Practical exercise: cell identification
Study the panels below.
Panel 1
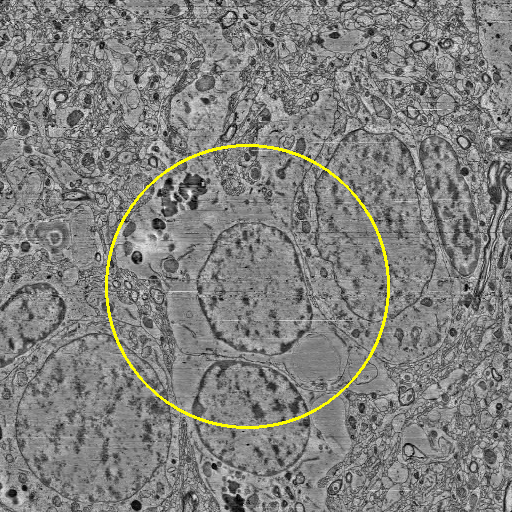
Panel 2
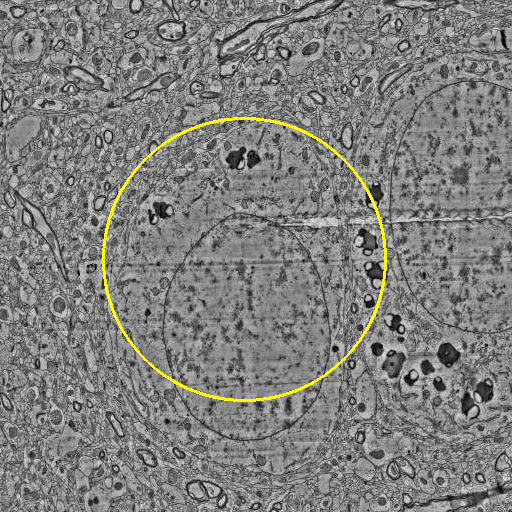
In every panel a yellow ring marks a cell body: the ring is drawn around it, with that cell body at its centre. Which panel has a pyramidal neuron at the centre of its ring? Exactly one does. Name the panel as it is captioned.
Panel 2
